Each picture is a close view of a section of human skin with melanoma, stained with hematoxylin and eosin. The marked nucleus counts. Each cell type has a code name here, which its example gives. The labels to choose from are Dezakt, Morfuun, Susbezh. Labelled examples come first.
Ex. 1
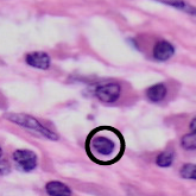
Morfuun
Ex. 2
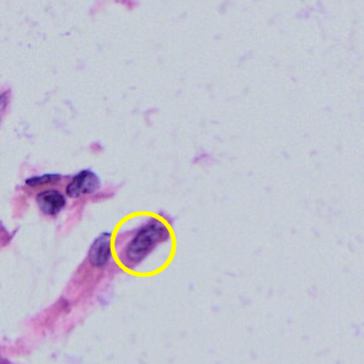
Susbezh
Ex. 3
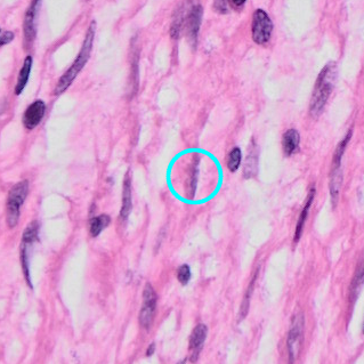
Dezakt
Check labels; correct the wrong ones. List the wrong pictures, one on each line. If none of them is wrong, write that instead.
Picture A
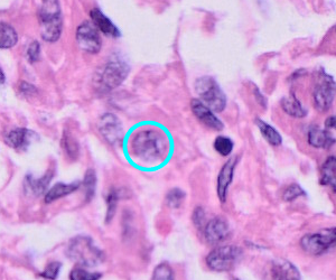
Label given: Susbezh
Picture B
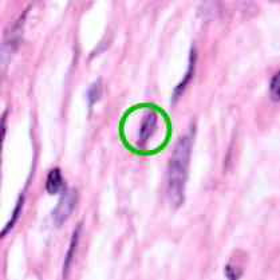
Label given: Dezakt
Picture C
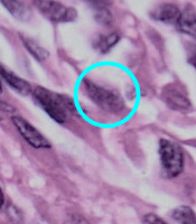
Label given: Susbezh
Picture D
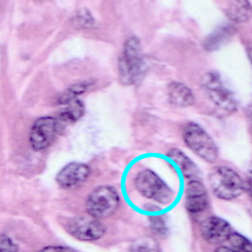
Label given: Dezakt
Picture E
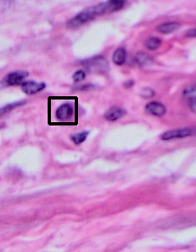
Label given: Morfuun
D: Susbezh, not Dezakt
